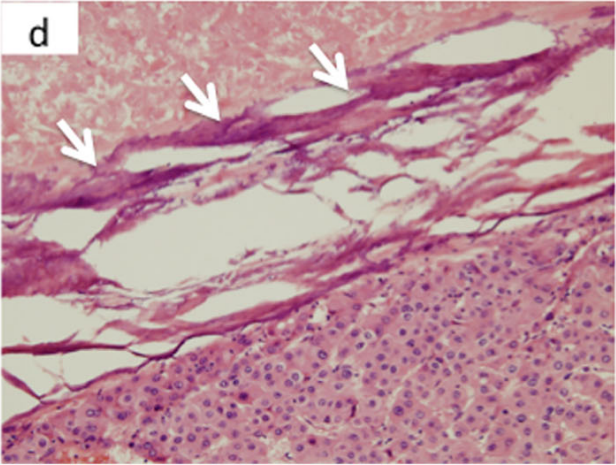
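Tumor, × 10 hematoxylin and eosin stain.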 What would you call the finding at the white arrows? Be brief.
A: Calcification.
